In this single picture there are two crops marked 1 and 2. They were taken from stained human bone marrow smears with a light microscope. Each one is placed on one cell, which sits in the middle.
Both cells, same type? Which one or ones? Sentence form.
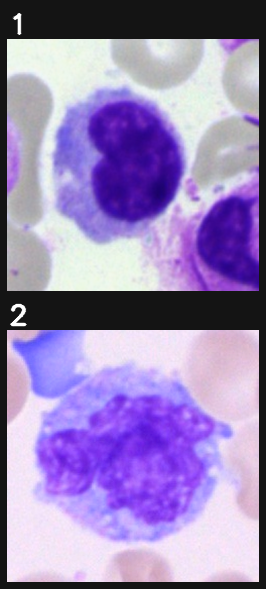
Yes, the cells placed at the centre of both crops are monocytes.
